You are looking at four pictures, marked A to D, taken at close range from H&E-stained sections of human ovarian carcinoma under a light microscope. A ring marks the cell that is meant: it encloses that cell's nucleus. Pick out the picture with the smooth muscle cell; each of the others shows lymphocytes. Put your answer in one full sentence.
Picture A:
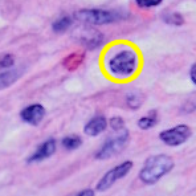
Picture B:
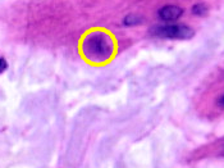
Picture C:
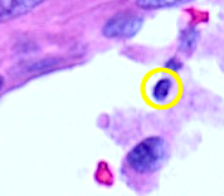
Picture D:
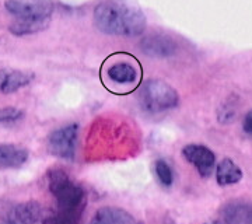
It is picture B that shows the smooth muscle cell.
